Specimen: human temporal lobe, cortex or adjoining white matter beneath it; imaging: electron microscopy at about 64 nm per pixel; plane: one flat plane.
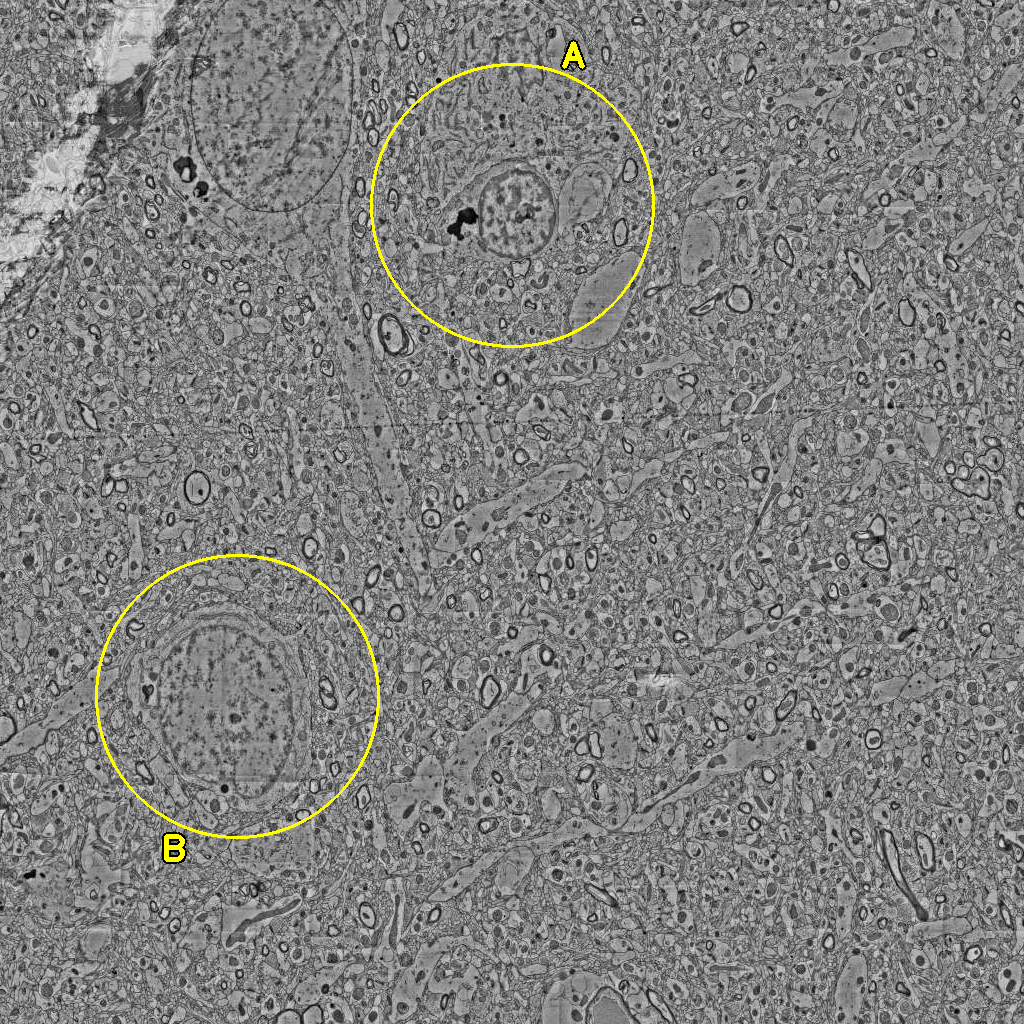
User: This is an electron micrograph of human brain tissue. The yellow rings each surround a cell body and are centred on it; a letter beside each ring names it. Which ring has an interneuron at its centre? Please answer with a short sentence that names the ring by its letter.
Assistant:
Ring B has it at its centre.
